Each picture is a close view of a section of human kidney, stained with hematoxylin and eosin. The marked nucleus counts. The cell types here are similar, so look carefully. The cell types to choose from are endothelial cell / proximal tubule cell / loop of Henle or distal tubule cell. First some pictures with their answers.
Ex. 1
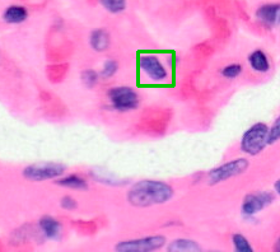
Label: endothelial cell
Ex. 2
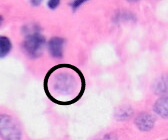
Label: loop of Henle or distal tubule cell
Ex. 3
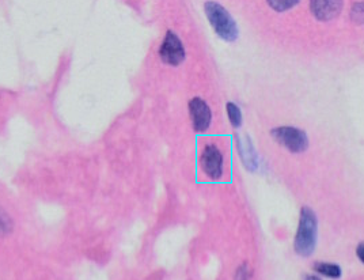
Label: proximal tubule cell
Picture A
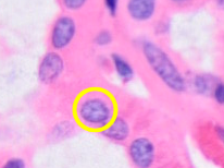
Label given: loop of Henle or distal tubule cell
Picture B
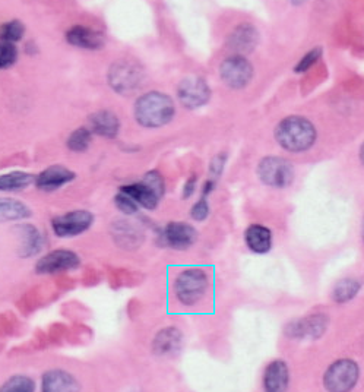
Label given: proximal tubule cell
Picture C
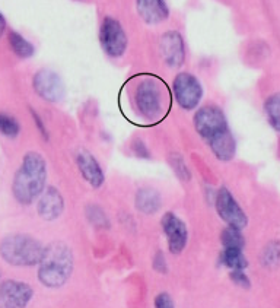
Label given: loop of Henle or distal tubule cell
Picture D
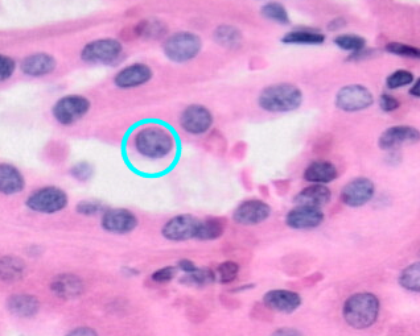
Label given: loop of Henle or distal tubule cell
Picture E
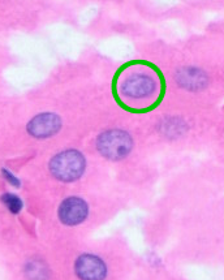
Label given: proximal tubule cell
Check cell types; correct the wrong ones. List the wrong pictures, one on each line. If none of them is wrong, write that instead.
B: not proximal tubule cell but loop of Henle or distal tubule cell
